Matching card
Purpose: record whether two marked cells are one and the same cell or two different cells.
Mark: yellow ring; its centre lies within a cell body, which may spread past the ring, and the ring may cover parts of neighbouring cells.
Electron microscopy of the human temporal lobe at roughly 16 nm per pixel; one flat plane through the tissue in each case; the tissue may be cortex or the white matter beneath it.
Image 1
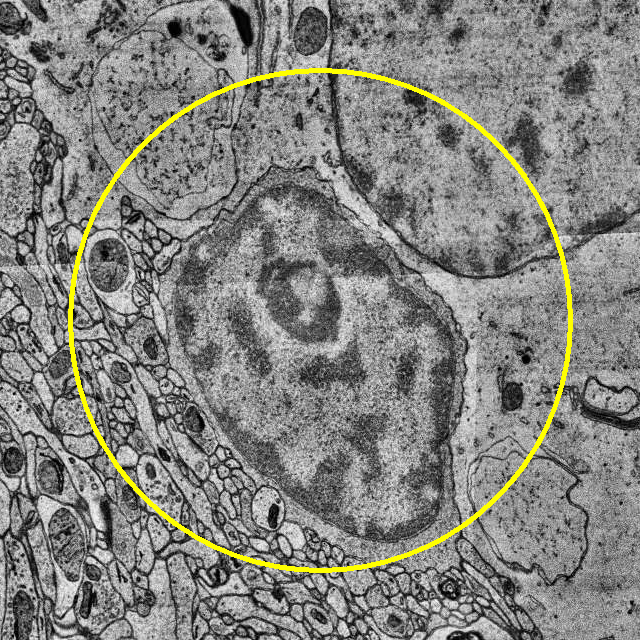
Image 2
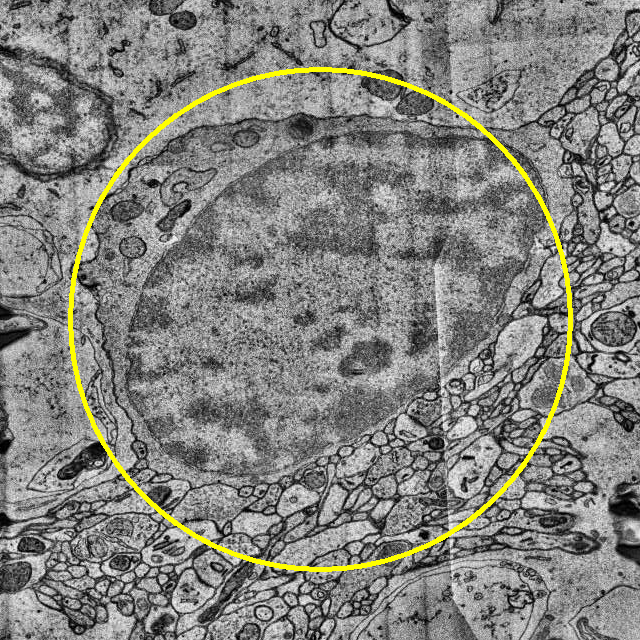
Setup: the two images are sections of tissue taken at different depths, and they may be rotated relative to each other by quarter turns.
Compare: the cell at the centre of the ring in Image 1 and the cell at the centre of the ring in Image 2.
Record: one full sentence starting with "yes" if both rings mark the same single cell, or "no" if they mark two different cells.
Yes, both marked profiles belong to the very same cell.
